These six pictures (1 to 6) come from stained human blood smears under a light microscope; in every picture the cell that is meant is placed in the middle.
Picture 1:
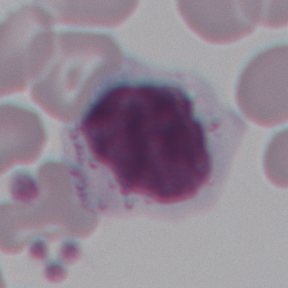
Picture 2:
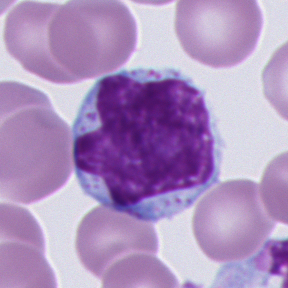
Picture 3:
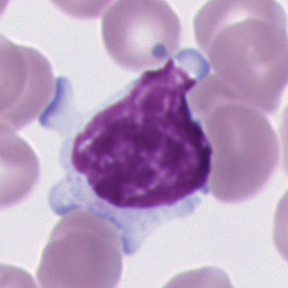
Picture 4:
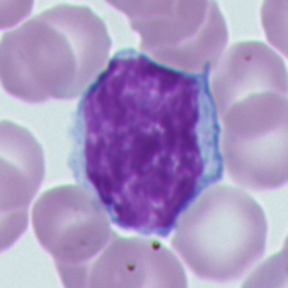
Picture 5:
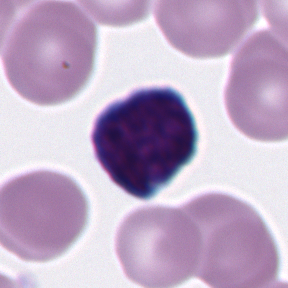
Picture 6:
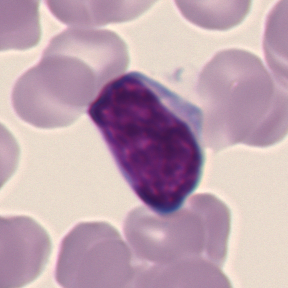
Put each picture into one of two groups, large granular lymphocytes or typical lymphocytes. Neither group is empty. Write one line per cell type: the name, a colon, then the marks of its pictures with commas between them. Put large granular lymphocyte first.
large granular lymphocyte: 1, 2
typical lymphocyte: 3, 4, 5, 6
